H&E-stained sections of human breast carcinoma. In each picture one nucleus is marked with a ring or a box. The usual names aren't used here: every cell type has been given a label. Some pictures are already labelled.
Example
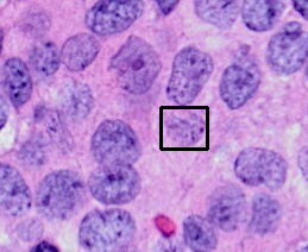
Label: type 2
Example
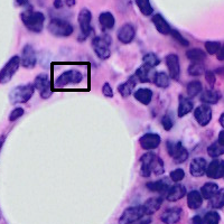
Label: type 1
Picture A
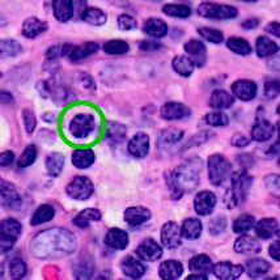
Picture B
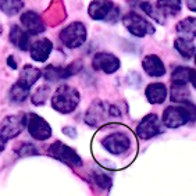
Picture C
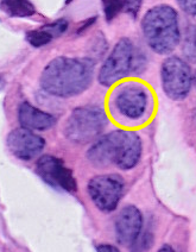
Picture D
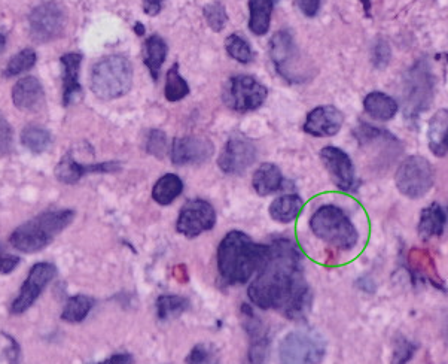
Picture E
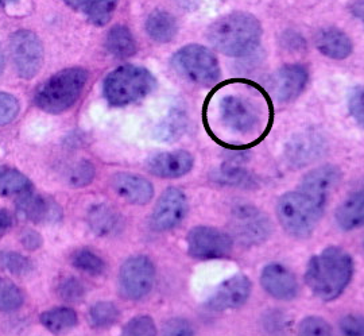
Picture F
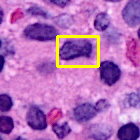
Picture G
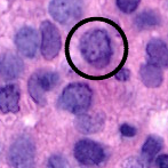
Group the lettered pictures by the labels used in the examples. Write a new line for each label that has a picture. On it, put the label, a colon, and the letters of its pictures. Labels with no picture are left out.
type 2: C, D, E, F, G
type 1: A, B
